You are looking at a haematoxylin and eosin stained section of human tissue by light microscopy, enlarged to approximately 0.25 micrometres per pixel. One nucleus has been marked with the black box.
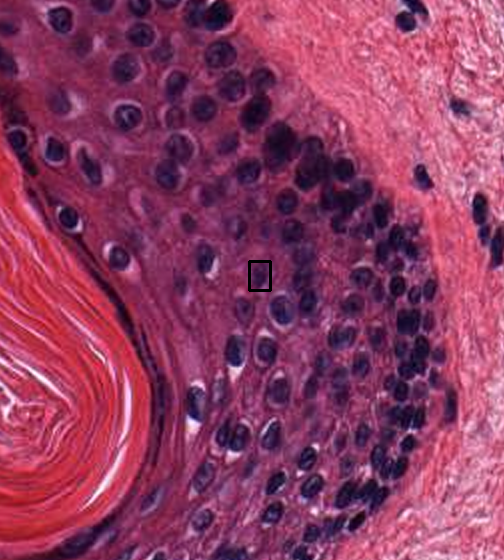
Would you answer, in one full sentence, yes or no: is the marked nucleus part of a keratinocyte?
Yes, the marked nucleus is to be read as that of a keratinocyte.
